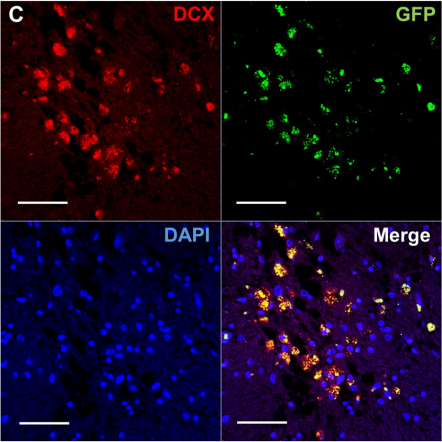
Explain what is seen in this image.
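Rounded cells with granular red signal form a loose band running from the upper middle to the lower part of the field. The green channel shows small speckled cells in corresponding positions, some brighter and compact. Blue nuclei are spread throughout the tissue, both inside and outside the labelled band. In the merge, many cells of the band appear yellow-orange where the red and green signals overlap.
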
